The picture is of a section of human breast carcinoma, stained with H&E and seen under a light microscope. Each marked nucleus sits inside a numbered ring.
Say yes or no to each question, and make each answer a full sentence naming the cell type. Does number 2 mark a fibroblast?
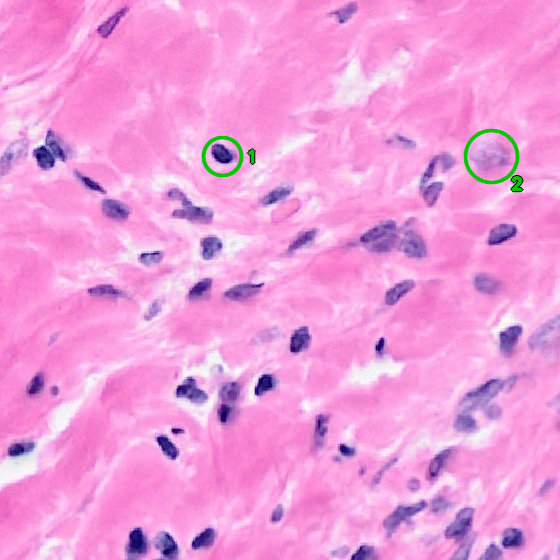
Yes, the cell identified as number 2 is a fibroblast.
